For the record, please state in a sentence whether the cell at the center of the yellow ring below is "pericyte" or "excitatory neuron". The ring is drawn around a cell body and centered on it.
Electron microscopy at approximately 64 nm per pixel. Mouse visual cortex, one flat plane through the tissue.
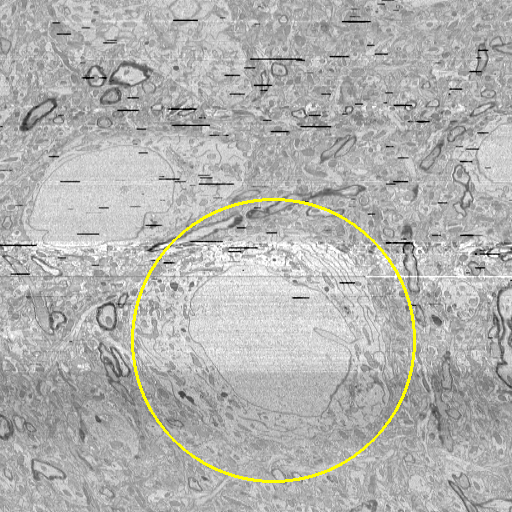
The cell at the ring's center is an excitatory neuron.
